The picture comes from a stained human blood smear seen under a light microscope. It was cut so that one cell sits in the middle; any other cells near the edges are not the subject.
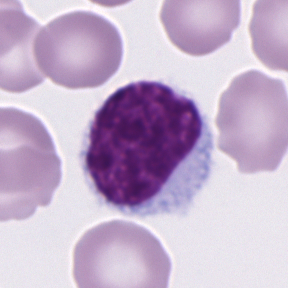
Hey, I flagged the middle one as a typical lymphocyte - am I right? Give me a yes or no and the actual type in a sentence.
No, what sits in the centre of the crop is a hairy cell rather than a typical lymphocyte.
